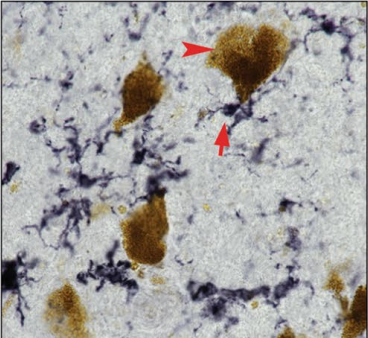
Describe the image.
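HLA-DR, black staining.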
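This is substantia nigra tissue with large pigmented neurons and small, finely branched microglia. The neurons are big angular cell bodies whose cytoplasm is packed with golden-brown granular pigment. Between them lie small black-stained cells with thin, delicate, branching processes on a pale grey background. Some of these thin processes run close to the pigmented neurons without covering them.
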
